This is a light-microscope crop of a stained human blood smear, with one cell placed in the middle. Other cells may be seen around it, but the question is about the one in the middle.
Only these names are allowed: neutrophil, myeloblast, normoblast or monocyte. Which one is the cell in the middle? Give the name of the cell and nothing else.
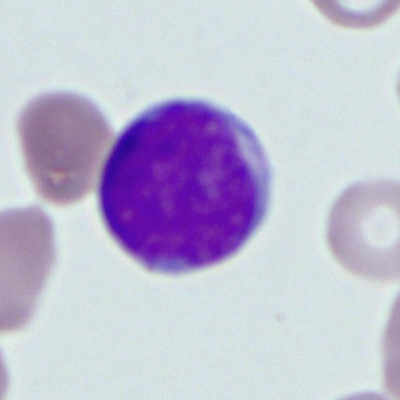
myeloblast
